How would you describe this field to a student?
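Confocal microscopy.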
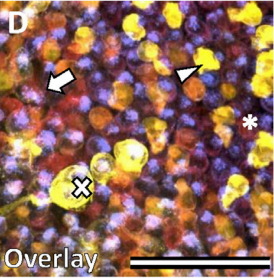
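Yellow cells lie scattered among the more numerous blue-spotted cells, and occasionally a yellow ring encloses a cell. The cells are closely crowded, each only a few micrometres across, forming a mosaic across the whole field.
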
